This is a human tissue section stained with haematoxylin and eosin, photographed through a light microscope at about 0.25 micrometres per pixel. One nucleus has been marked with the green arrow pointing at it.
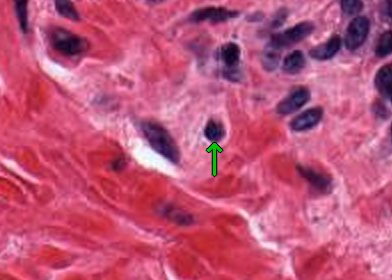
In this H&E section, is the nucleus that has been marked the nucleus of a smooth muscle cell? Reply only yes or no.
no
